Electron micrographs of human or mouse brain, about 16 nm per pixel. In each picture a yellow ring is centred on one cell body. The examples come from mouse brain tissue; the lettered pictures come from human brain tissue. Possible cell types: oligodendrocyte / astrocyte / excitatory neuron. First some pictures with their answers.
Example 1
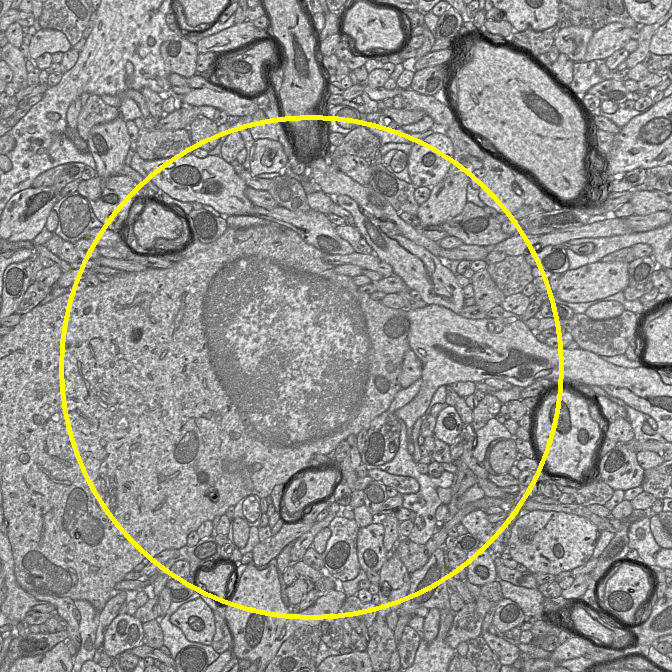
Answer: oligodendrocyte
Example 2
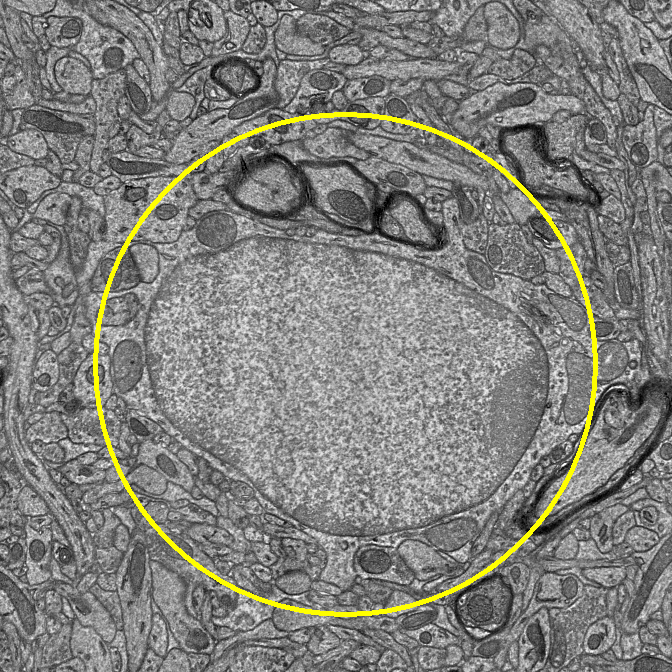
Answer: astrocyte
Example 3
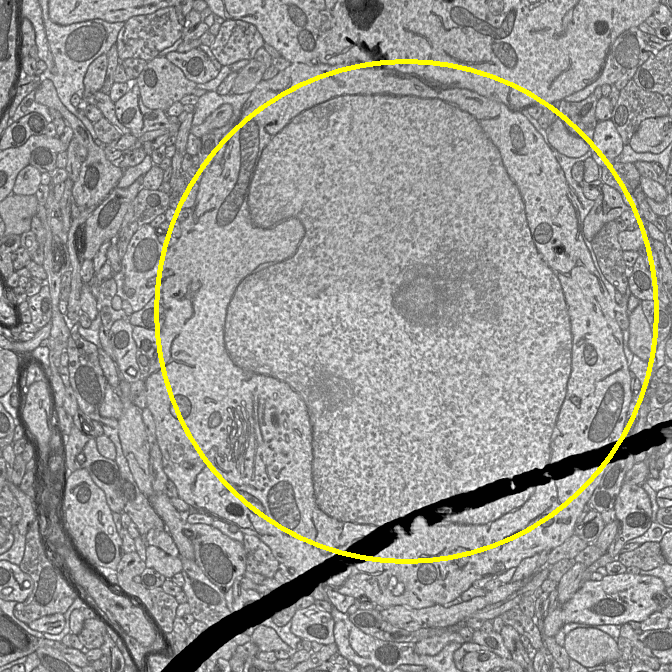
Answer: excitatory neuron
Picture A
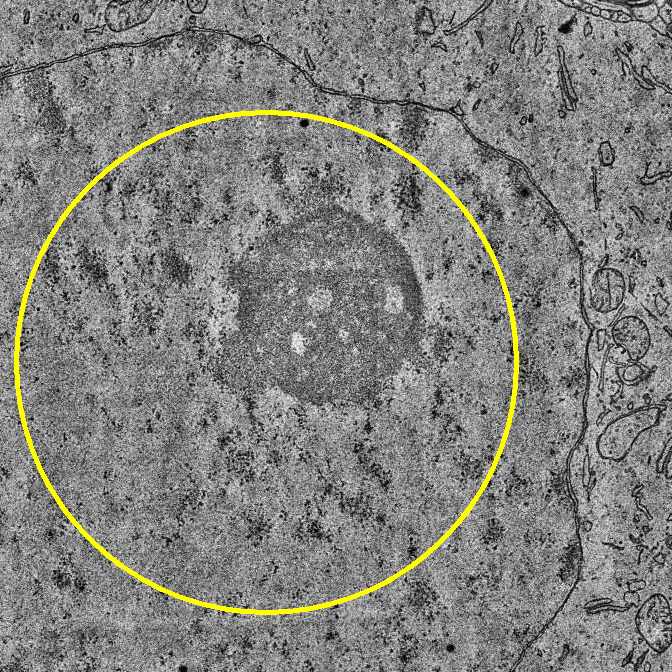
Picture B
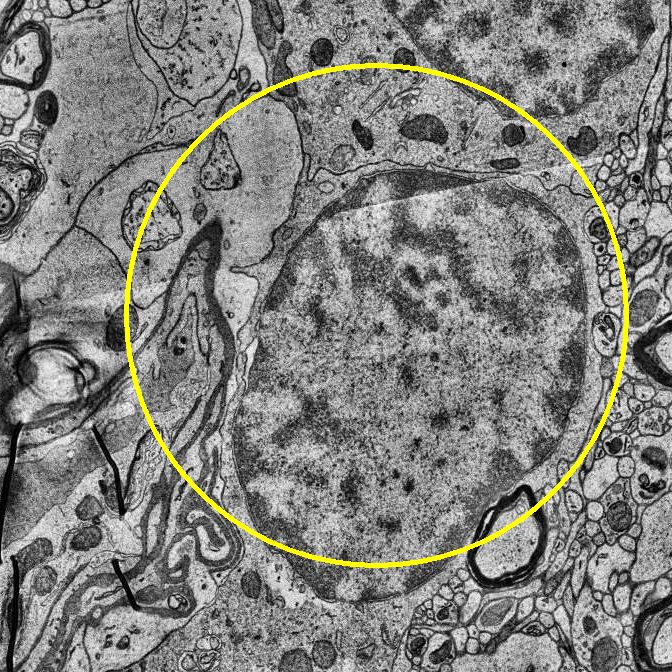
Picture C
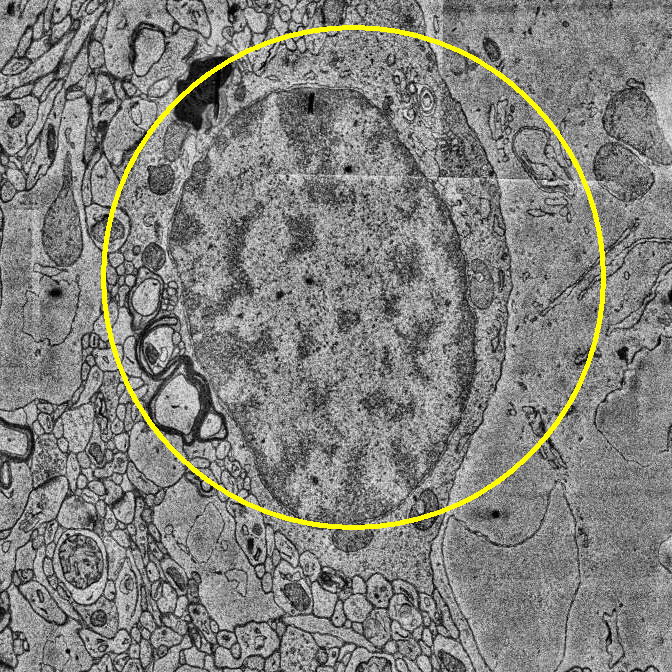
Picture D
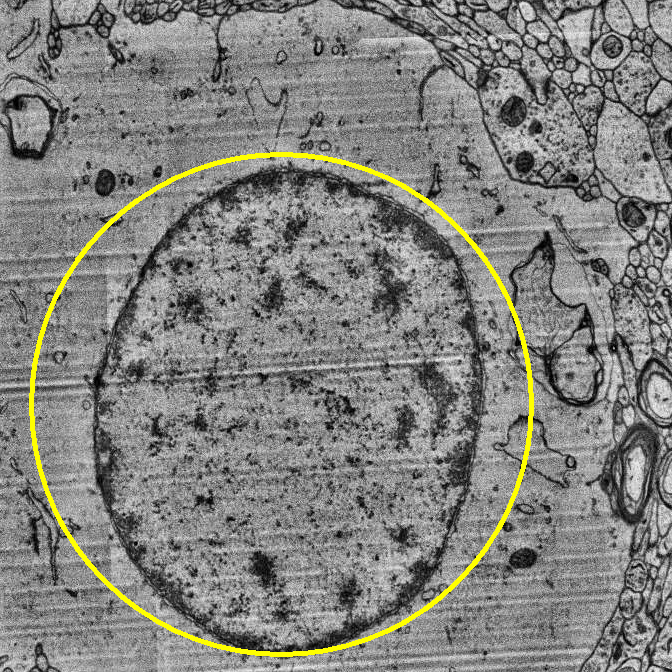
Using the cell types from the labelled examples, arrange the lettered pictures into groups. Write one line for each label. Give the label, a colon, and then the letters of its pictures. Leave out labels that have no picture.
oligodendrocyte: B, C
astrocyte: D
excitatory neuron: A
